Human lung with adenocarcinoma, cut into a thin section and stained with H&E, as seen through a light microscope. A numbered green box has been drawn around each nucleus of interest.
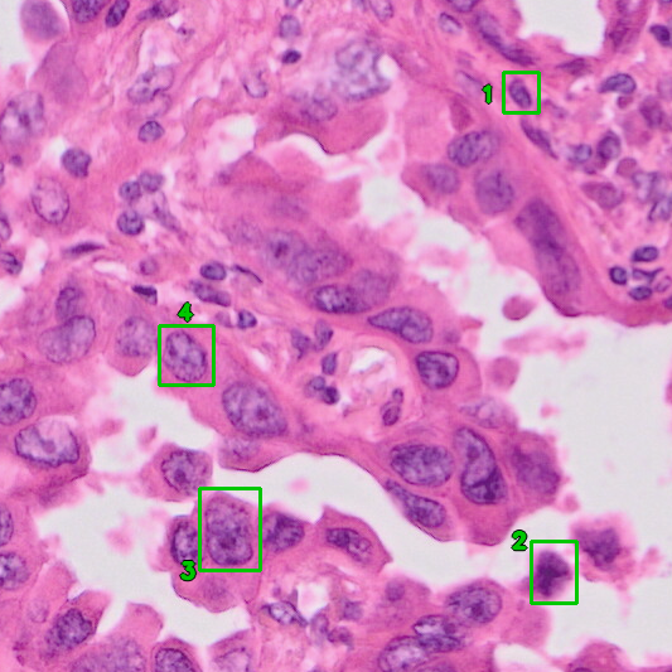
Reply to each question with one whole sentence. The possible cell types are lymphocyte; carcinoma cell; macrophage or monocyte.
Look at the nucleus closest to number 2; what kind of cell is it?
Closest to number 2 lies the nucleus of a carcinoma cell.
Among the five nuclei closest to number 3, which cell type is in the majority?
Carcinoma cells account for more than half of the five nuclei nearest to number 3.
